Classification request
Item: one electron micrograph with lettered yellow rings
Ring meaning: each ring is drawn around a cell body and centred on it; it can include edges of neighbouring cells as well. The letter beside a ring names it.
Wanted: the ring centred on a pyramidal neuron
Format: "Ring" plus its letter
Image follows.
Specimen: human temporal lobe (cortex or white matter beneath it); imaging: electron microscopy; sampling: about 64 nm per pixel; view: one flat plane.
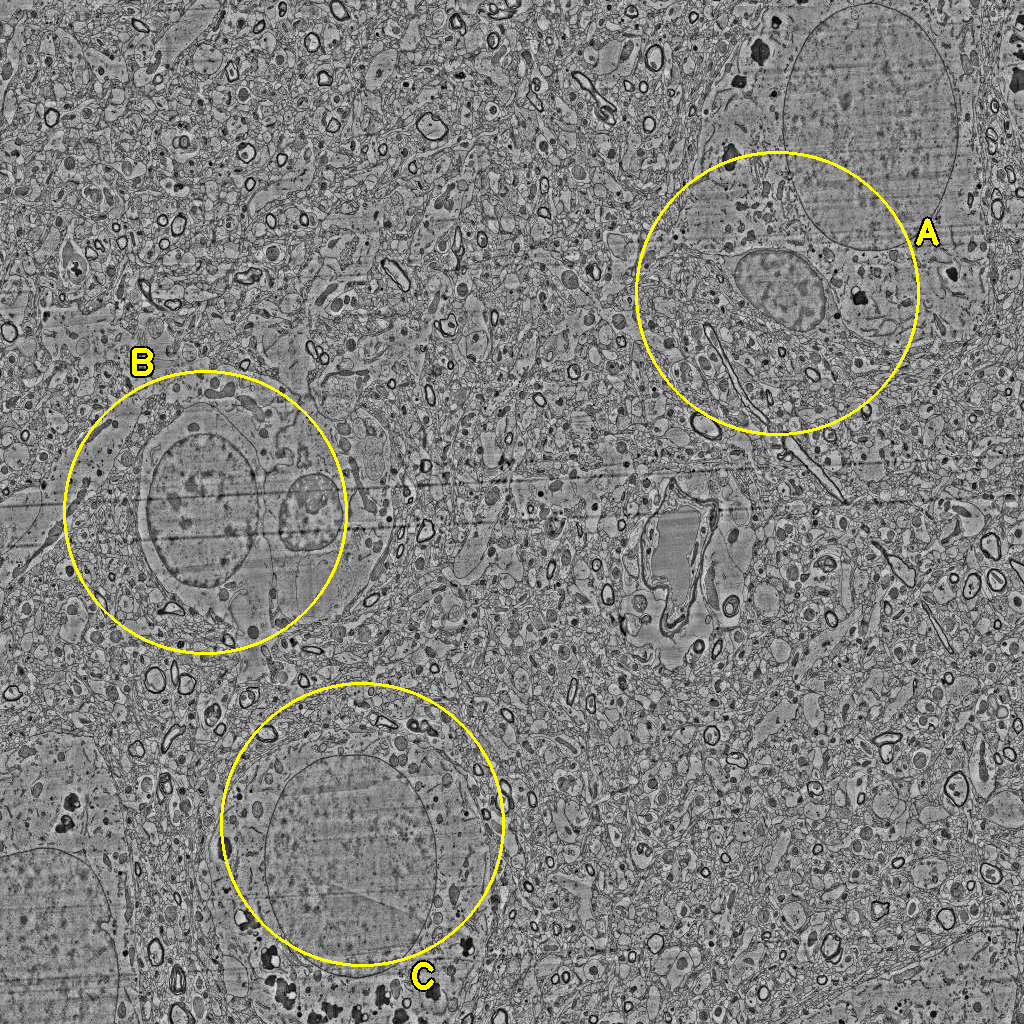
Ring C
